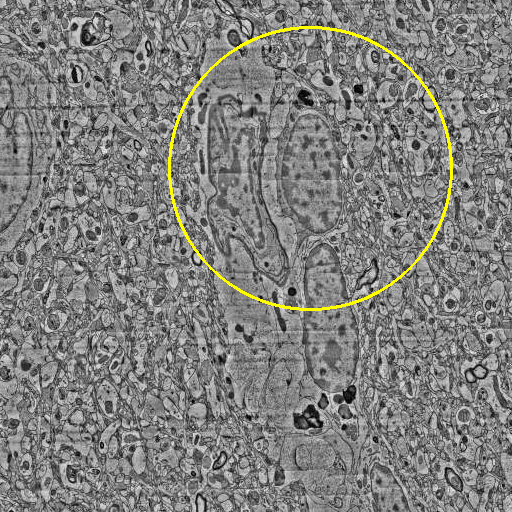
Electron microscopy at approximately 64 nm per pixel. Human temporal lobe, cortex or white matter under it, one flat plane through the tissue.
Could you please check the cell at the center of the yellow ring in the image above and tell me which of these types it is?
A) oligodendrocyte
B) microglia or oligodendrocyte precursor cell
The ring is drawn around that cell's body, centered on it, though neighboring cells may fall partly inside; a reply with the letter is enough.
A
